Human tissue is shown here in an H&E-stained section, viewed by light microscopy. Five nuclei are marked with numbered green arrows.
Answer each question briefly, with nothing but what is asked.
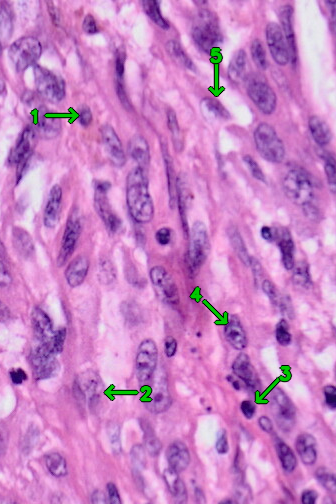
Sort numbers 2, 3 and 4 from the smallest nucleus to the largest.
3, 4, 2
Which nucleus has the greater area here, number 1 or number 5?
5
